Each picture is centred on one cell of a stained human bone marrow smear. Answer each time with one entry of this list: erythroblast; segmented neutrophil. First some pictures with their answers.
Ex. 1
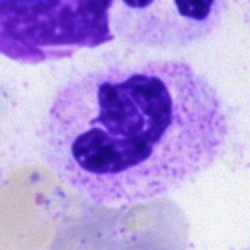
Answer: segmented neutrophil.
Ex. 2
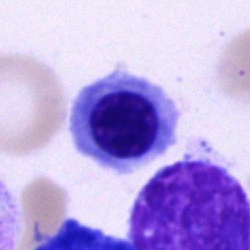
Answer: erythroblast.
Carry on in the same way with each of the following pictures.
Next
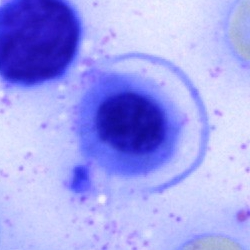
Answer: erythroblast.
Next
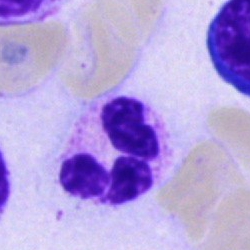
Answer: segmented neutrophil.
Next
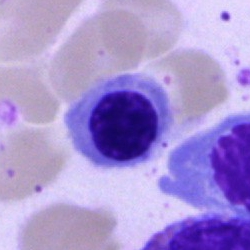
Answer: erythroblast.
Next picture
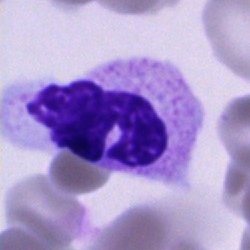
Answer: segmented neutrophil.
